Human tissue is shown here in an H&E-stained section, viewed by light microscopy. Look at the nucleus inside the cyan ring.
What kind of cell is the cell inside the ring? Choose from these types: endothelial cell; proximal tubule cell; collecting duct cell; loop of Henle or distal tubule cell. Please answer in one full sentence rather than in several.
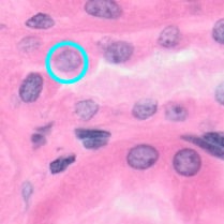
Speaking plainly, the cell inside the ring is nothing other than a loop of Henle or distal tubule cell.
